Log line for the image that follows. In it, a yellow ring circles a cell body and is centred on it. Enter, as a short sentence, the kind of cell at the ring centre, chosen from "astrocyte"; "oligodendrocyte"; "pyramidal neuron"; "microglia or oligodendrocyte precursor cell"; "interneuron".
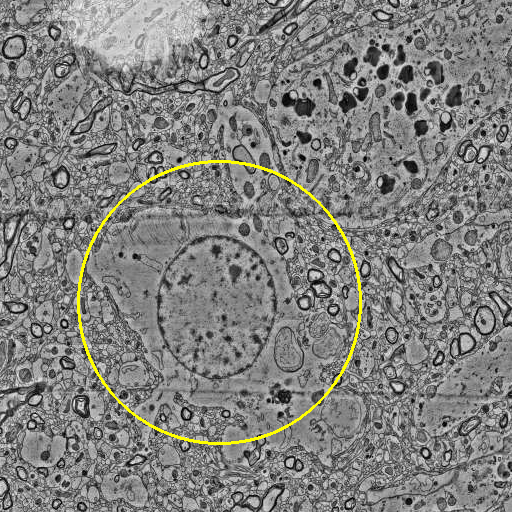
The ring centre is occupied by an astrocyte.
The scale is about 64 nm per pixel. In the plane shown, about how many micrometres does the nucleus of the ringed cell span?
The nucleus of the ringed cell is approximately 9 by 8 micrometres in this plane.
